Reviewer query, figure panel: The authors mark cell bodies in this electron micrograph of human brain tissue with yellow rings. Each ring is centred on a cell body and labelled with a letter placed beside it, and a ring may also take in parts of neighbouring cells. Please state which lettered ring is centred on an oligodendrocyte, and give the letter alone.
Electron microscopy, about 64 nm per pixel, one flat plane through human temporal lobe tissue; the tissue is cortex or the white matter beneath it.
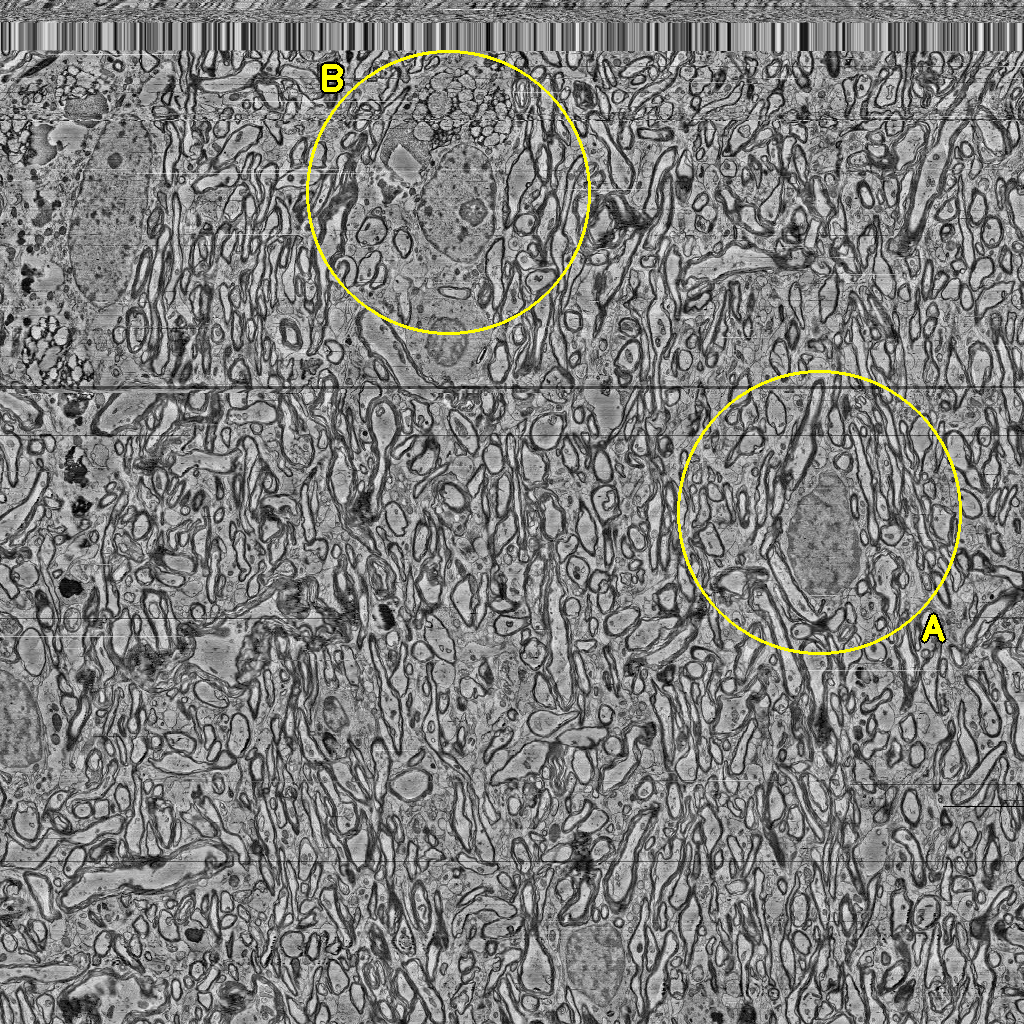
A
